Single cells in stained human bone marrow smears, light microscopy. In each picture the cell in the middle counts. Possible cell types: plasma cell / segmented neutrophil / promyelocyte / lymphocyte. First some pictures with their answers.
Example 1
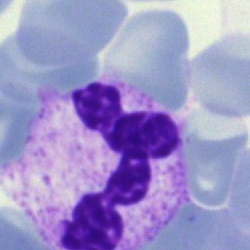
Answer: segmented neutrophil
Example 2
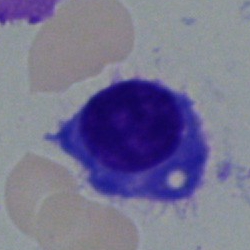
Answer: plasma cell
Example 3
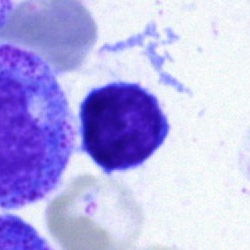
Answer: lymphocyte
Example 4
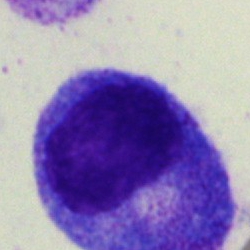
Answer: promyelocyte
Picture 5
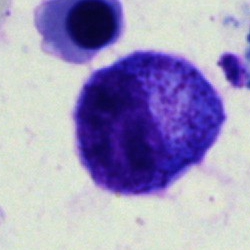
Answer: promyelocyte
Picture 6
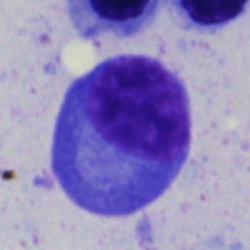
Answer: plasma cell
